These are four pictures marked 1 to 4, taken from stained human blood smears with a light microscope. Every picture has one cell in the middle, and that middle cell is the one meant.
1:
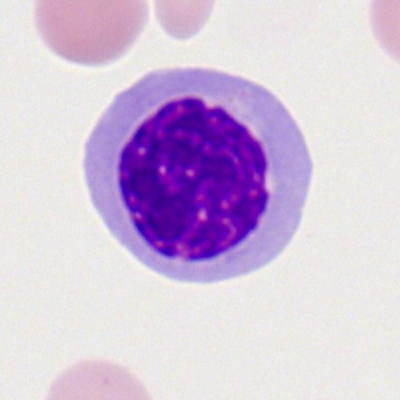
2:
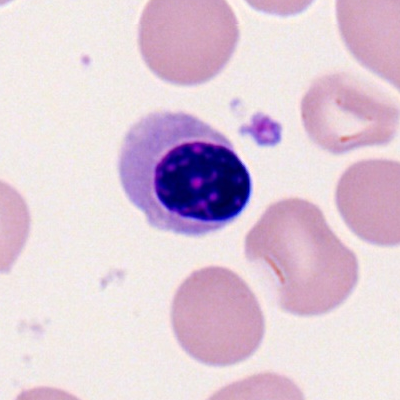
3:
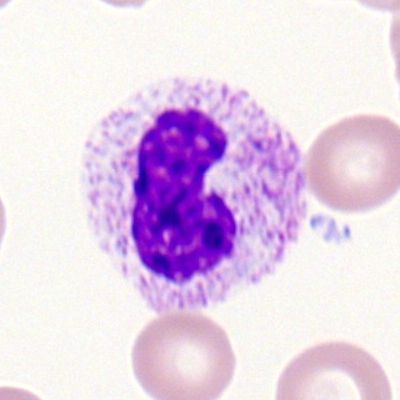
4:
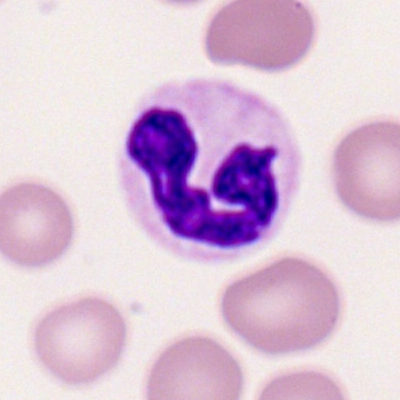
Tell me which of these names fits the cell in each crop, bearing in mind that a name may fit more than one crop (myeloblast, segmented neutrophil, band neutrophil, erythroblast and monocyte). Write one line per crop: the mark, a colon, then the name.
1: erythroblast
2: erythroblast
3: band neutrophil
4: segmented neutrophil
